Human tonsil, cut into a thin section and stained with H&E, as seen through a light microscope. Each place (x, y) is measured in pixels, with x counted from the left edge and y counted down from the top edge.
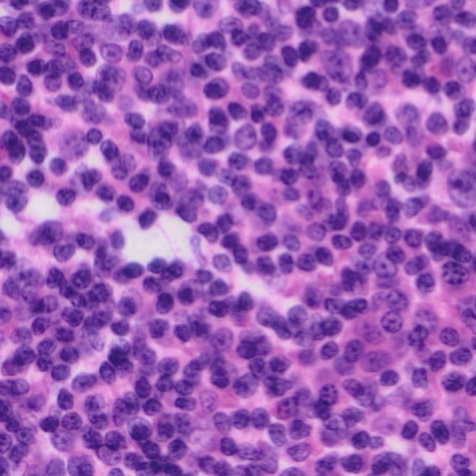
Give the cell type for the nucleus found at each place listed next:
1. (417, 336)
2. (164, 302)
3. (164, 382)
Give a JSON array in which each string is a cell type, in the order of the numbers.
["plasma cell", "small lymphocyte", "small lymphocyte"]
